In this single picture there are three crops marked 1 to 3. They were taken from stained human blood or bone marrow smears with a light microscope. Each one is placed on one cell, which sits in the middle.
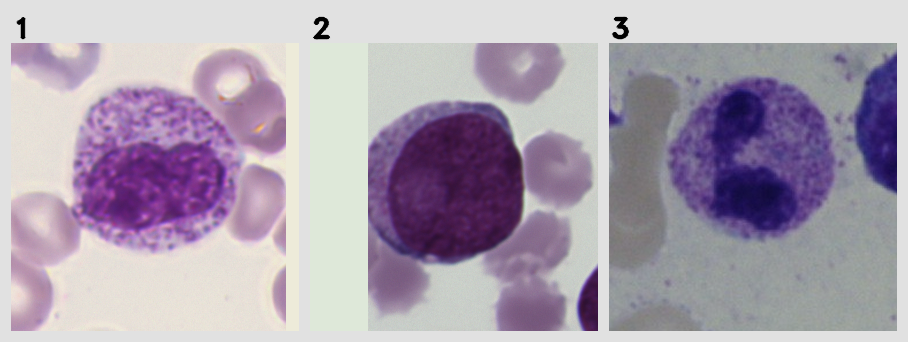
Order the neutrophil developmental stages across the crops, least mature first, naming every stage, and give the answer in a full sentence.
The least to most mature ordering of the crops is crop 2 (a myelocyte), crop 1 (a metamyelocyte) and crop 3 (a segmented neutrophil).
